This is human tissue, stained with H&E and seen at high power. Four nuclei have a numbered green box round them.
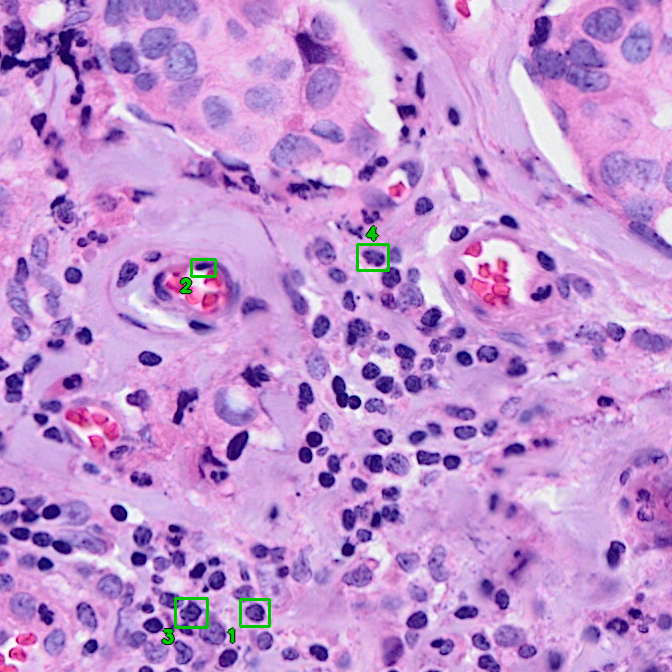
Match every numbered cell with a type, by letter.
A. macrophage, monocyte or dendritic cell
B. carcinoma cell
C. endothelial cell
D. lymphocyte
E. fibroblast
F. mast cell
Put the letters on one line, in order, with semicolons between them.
D; C; D; D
